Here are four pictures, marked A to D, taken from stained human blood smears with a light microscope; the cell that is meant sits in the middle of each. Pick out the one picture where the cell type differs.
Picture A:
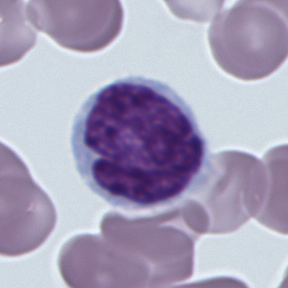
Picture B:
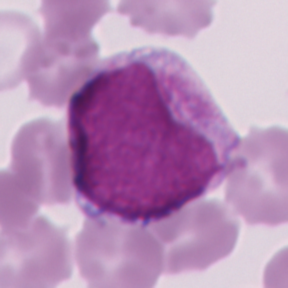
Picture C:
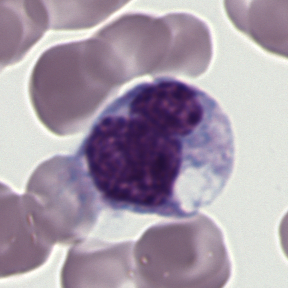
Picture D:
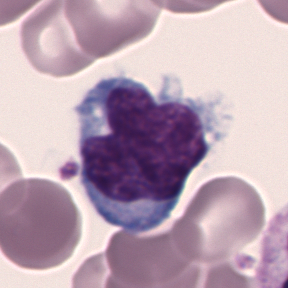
B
